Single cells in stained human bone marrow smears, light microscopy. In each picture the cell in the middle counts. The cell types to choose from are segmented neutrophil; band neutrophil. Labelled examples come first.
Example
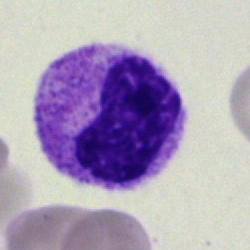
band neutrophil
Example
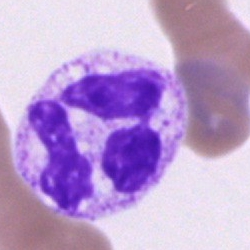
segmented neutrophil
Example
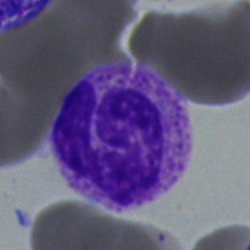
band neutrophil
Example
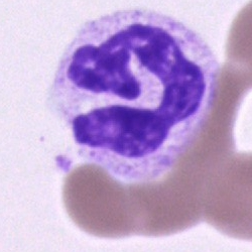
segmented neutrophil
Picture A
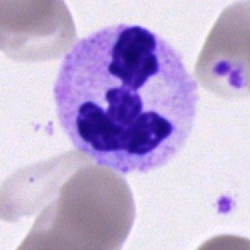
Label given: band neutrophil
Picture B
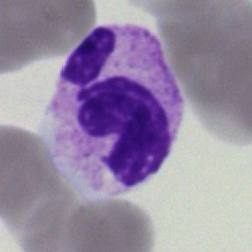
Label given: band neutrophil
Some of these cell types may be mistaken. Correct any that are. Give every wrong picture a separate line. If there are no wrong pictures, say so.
A: not band neutrophil but segmented neutrophil
B: not band neutrophil but segmented neutrophil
